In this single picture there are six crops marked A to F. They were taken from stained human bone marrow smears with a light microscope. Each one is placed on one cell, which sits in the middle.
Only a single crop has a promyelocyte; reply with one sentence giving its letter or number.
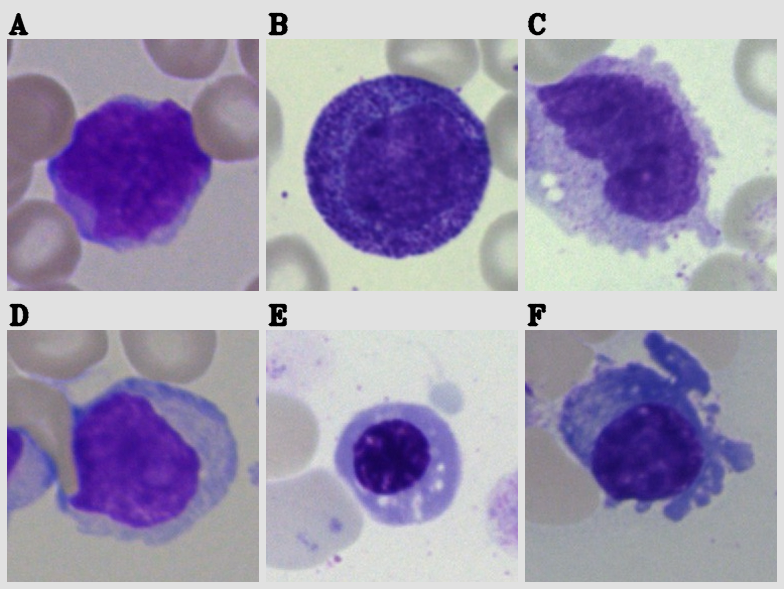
The sole crop showing a promyelocyte is crop B.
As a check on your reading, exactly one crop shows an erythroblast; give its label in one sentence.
When the crops are compared, crop E is the one showing an erythroblast.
